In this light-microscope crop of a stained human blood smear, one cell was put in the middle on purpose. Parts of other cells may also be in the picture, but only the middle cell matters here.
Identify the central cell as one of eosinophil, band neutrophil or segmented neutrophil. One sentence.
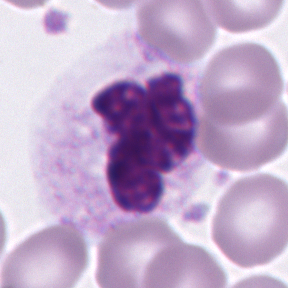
The crop centres on a single cell, and that cell is a segmented neutrophil.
